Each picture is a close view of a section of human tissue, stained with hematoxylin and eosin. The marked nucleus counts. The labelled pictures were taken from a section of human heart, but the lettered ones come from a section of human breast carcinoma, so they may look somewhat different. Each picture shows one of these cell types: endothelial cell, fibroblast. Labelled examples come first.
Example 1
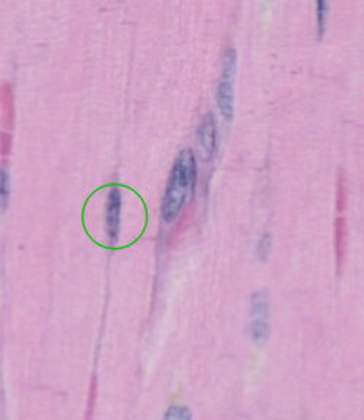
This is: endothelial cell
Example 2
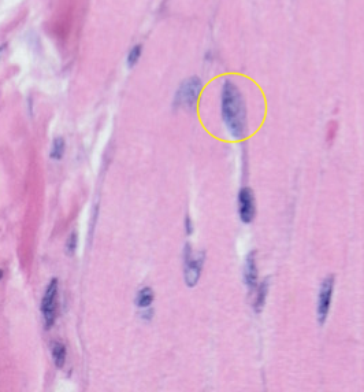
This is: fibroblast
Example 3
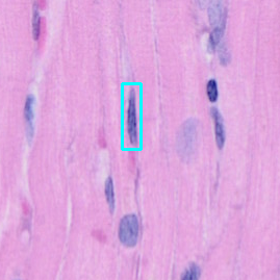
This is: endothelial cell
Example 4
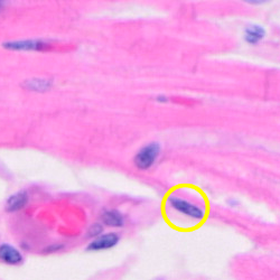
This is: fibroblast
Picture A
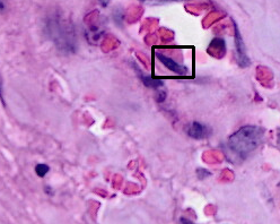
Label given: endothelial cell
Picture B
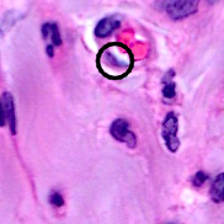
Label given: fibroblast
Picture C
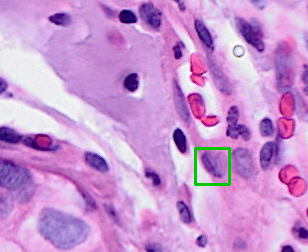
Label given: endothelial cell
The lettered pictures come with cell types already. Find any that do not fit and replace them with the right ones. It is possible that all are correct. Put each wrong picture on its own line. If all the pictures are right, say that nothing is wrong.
B is labelled fibroblast; correct label: endothelial cell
